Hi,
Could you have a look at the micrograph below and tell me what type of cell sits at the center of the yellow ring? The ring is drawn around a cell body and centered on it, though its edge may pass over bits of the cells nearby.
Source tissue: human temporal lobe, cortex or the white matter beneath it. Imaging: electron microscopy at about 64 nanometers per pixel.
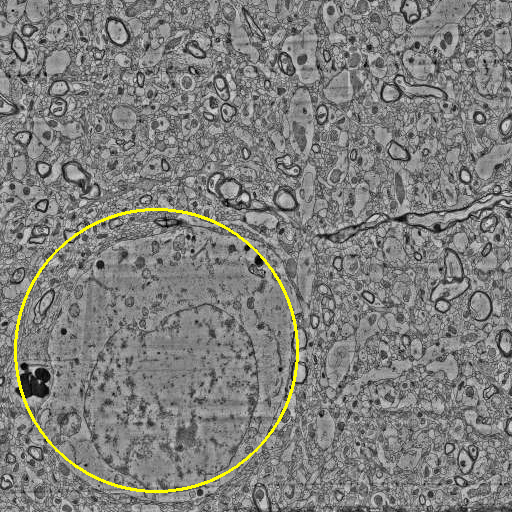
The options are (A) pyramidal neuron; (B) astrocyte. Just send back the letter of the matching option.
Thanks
A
